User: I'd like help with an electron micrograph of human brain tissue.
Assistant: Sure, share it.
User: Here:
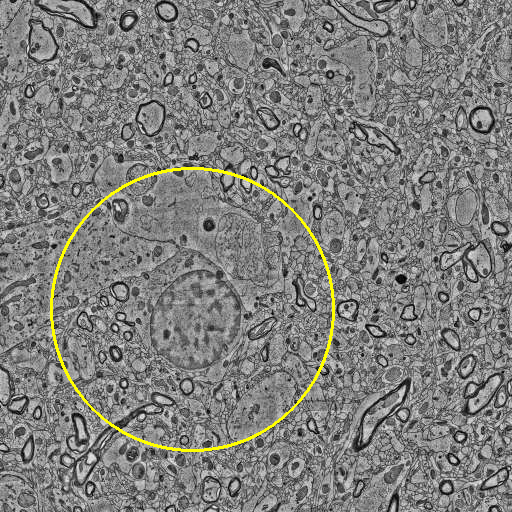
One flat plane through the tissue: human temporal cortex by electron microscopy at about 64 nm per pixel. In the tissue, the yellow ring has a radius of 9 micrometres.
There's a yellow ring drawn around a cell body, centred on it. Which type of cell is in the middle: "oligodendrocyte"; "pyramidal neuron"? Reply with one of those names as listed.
oligodendrocyte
